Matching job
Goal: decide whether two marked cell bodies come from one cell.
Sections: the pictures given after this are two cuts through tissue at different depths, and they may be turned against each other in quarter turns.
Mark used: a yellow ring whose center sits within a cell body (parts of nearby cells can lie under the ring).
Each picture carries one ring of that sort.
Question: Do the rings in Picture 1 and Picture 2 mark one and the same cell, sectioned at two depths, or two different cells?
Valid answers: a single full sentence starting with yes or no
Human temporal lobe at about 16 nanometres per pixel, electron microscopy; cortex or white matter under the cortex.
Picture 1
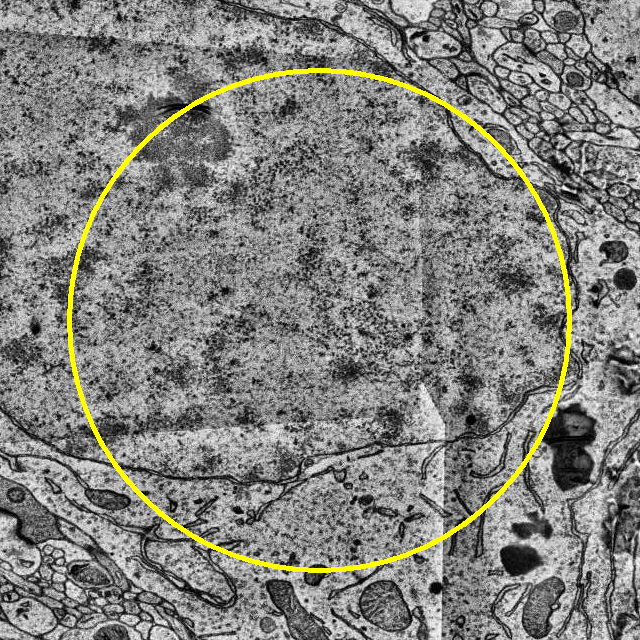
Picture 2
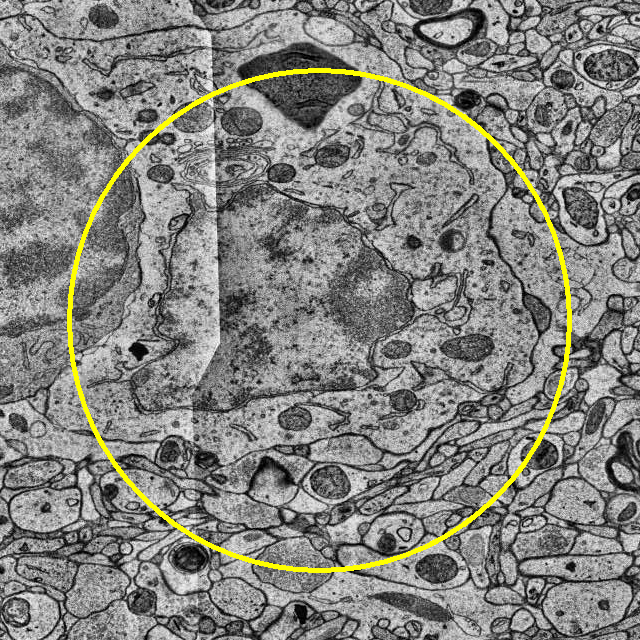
No, the two rings indicate two different cells, not one.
